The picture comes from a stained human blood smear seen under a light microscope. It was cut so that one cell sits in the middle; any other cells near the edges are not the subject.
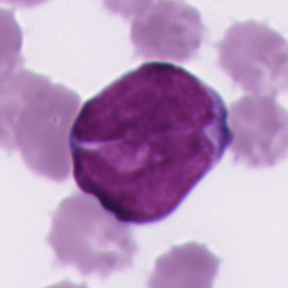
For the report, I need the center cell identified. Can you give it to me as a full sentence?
This crop is built around a myeloblast at its centre.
